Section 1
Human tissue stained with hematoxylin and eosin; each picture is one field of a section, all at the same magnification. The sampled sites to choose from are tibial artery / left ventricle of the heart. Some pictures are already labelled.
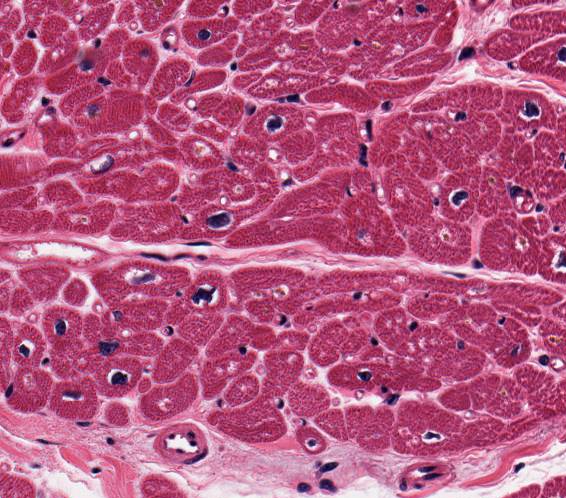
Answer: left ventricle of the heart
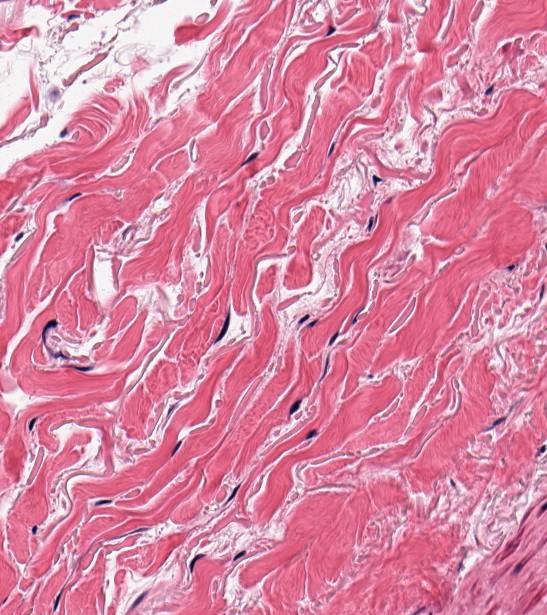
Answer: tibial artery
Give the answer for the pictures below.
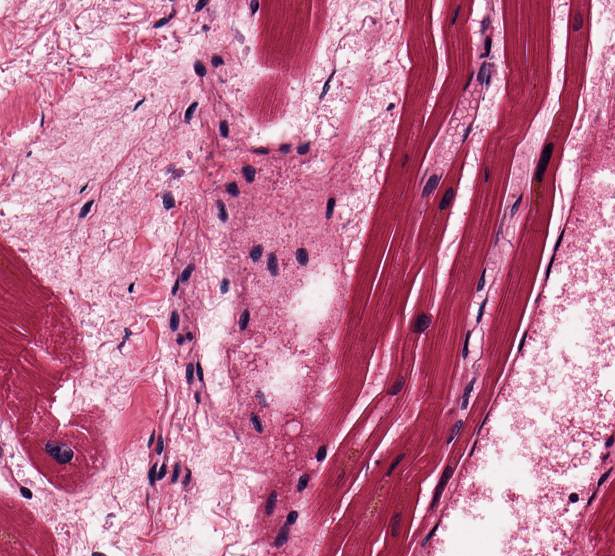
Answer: left ventricle of the heart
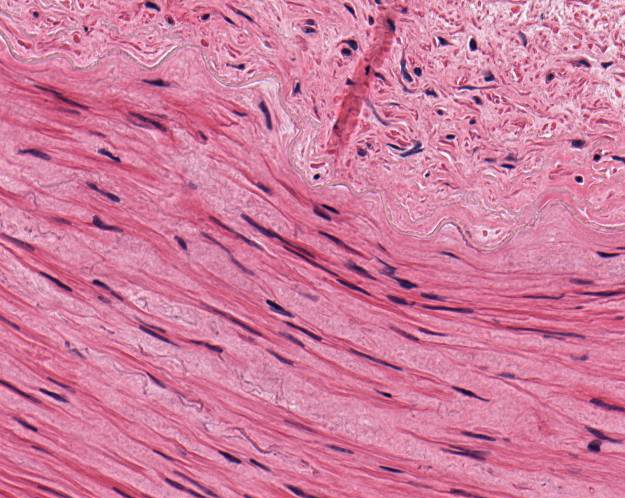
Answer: tibial artery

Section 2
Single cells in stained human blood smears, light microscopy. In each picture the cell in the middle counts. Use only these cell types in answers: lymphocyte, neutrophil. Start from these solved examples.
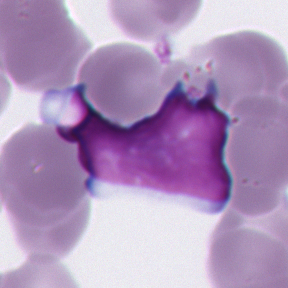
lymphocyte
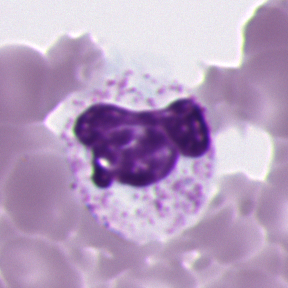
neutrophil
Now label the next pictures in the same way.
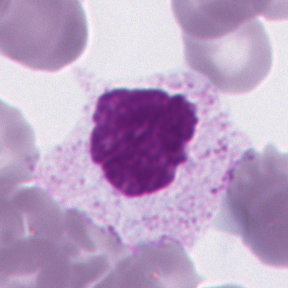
neutrophil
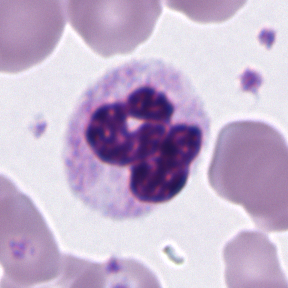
neutrophil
